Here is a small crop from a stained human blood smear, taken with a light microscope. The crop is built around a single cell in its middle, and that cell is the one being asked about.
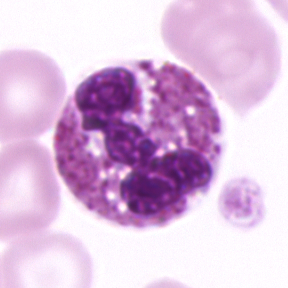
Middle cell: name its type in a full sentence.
The centrally placed cell is classified as an eosinophil.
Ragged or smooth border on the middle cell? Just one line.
The outline traces a smooth curve with no projections along it.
